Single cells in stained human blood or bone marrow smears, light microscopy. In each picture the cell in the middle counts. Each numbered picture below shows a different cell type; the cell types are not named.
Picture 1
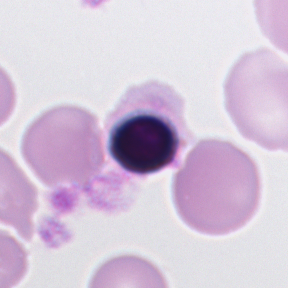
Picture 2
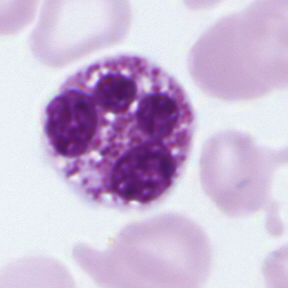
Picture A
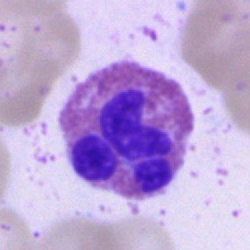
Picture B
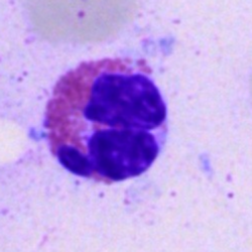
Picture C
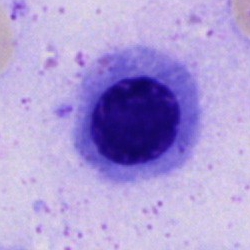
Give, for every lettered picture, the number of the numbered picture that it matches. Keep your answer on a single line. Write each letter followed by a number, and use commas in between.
A 2, B 2, C 1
